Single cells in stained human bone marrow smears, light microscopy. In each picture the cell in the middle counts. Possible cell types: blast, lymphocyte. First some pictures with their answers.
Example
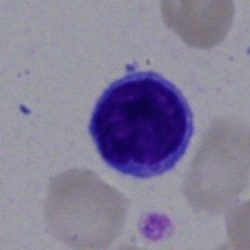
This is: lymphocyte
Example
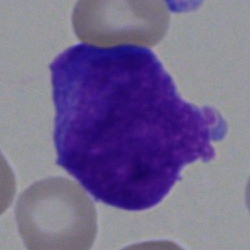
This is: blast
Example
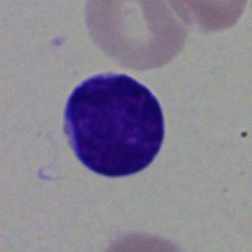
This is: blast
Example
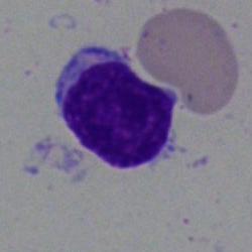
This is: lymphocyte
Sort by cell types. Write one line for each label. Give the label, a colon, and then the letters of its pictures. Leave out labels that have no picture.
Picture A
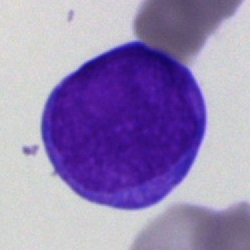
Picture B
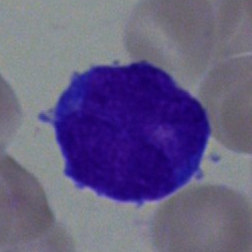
blast: A, B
